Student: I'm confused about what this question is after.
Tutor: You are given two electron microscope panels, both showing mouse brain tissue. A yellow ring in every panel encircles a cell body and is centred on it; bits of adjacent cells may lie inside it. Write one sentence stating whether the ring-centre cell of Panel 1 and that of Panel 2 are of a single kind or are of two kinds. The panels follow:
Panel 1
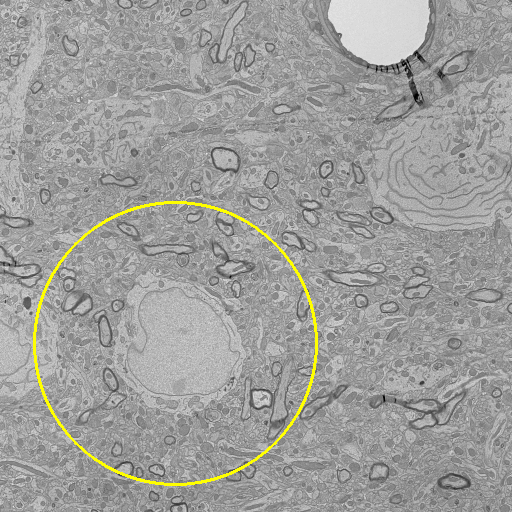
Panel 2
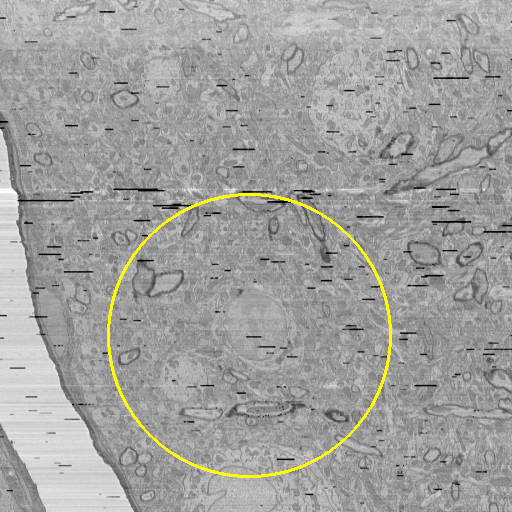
Here, the Panel 1 ring-centre cell and the Panel 2 ring-centre cell are of two kinds.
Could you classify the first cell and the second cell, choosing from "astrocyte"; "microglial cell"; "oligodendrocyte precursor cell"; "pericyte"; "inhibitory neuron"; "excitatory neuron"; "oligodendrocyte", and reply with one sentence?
The second cell is a microglial cell, while the first is an excitatory neuron.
